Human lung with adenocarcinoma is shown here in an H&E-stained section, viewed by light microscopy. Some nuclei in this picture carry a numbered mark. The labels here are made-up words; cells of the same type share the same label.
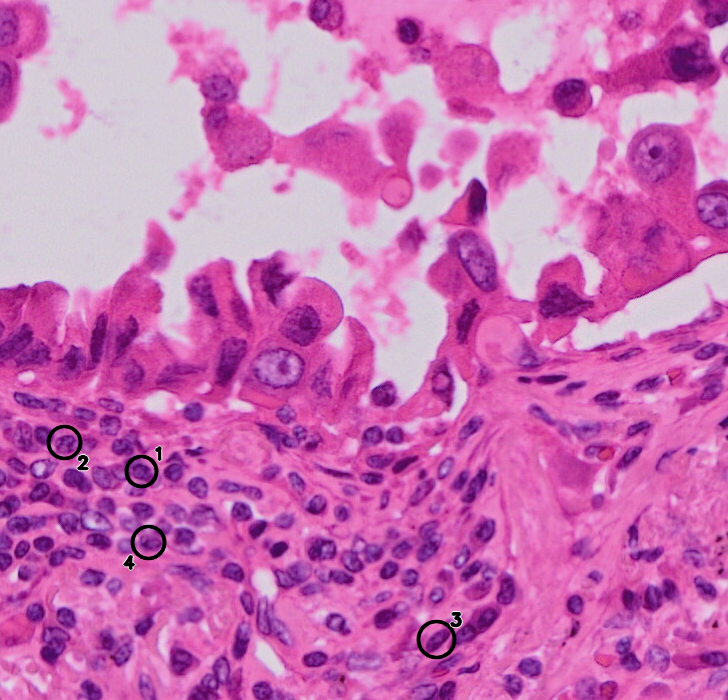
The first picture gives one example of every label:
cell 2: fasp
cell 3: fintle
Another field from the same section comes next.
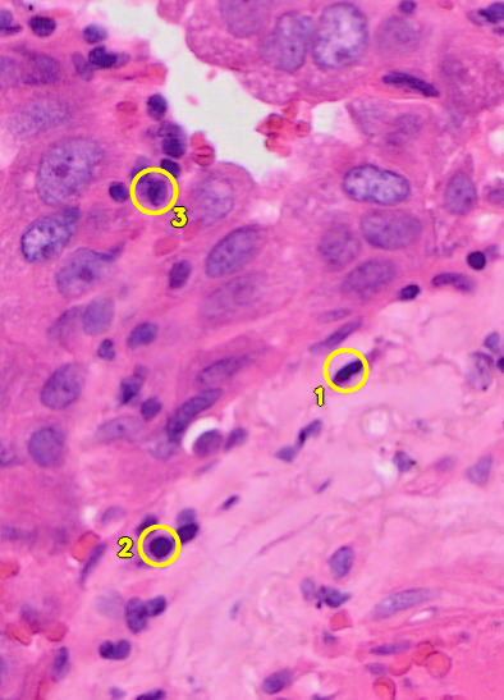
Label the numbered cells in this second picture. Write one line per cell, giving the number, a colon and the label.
1: fintle
2: fasp
3: fasp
